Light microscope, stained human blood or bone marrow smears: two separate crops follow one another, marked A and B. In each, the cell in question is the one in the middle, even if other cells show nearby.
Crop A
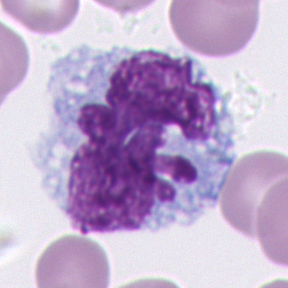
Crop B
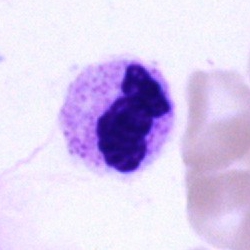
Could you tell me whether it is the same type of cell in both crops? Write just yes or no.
no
